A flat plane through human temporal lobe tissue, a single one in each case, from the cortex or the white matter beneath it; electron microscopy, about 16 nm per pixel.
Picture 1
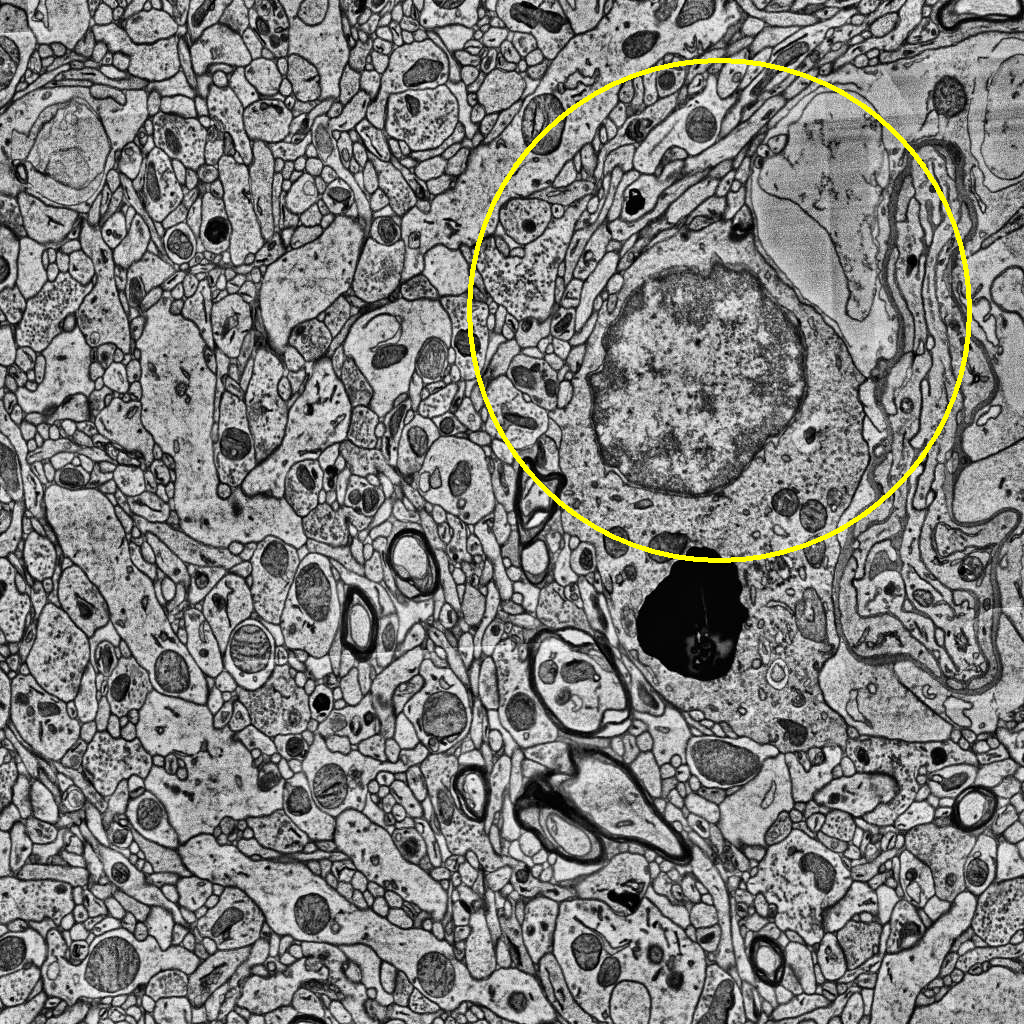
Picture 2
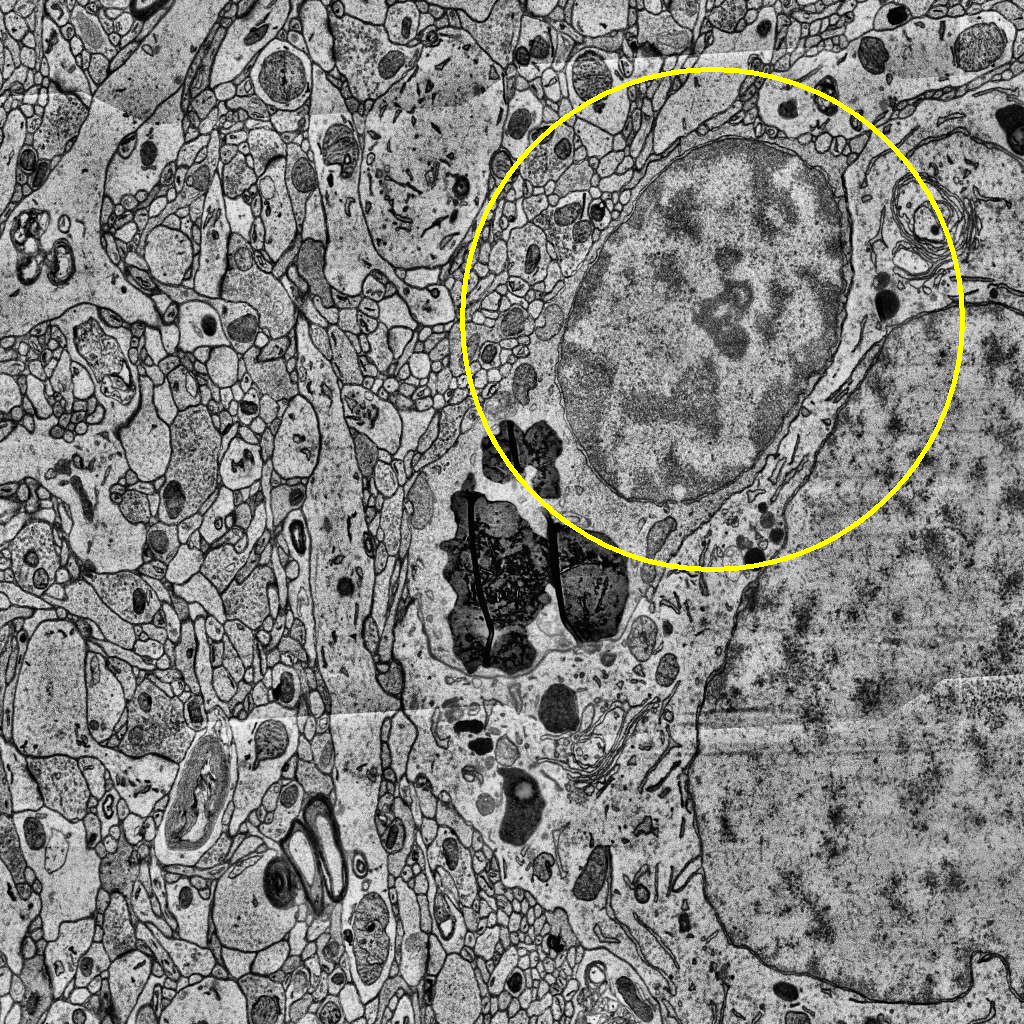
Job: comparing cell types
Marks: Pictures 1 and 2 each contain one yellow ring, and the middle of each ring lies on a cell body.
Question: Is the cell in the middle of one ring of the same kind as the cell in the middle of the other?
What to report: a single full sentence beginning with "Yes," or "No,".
Yes, the cell at the ring centre in Picture 1 and its partner in Picture 2 are of one kind.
